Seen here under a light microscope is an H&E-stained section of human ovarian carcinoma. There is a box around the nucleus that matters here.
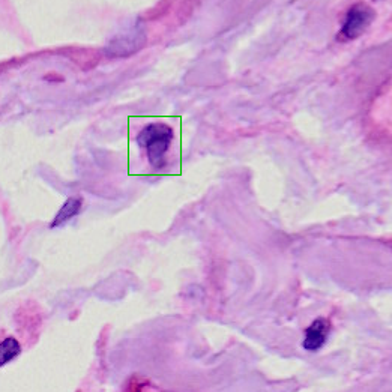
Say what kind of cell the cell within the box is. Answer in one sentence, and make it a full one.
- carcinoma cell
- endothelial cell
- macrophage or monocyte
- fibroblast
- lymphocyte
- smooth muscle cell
The cell type of the cell within the box is that of a macrophage or monocyte.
